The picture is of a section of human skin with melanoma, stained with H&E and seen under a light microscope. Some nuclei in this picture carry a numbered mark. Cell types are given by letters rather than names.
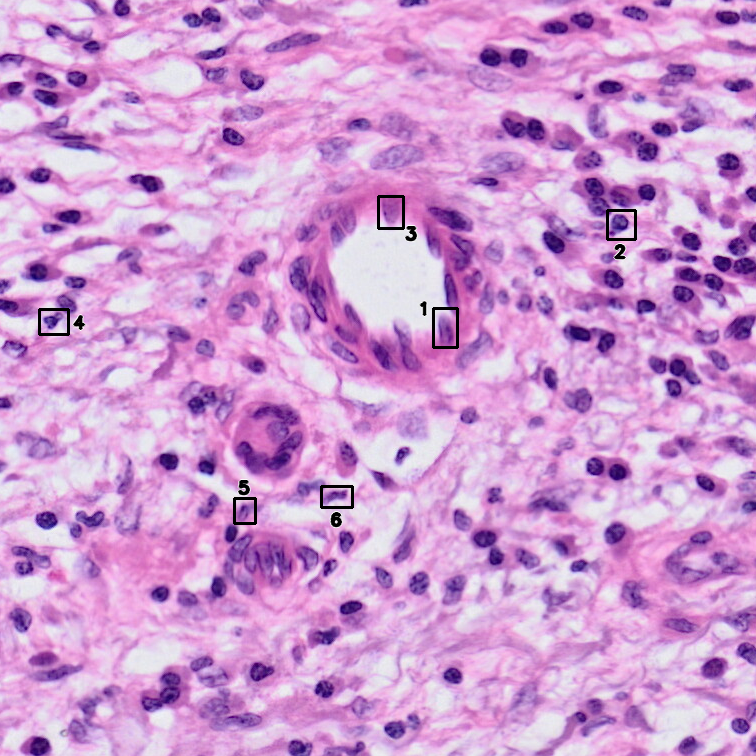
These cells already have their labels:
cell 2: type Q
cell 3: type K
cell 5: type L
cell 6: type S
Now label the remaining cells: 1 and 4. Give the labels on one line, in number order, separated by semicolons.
type K; type Q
